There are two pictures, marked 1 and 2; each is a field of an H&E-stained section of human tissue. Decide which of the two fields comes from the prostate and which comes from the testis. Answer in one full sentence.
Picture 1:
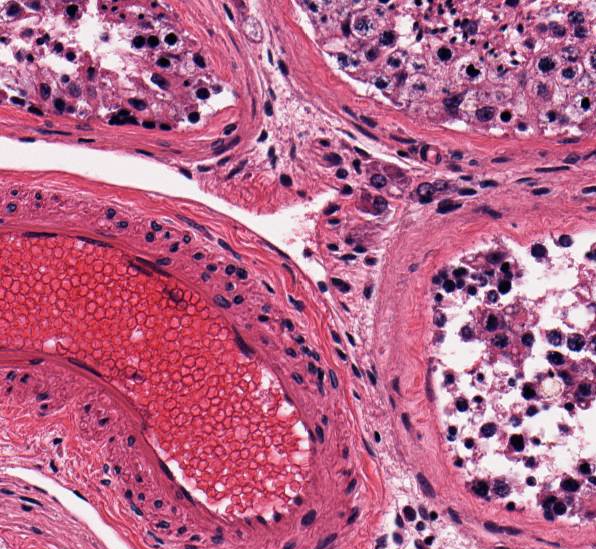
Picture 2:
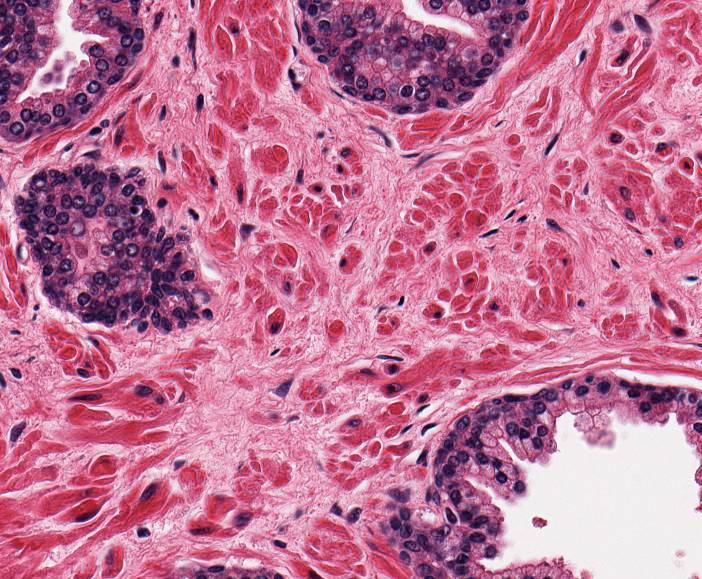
Picture 1 comes from the testis; picture 2 comes from the prostate.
